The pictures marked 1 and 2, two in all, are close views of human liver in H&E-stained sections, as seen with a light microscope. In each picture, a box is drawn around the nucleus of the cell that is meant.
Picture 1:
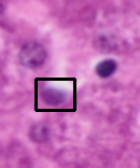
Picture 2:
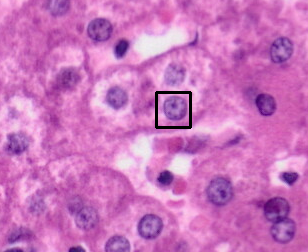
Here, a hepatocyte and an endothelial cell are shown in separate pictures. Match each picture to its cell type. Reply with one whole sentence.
Picture 1 is of an endothelial cell, and picture 2 is of a hepatocyte.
